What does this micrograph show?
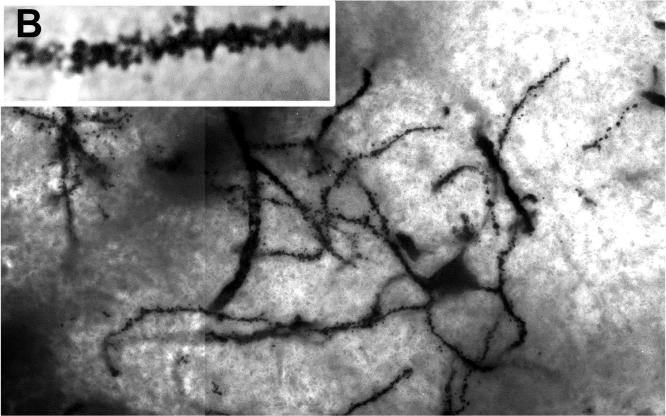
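Thin dendrites run from it and branch, and they are lined with small dark spines. Other impregnated dendrites and processes from nearby cells cross the picture, and parts of the background are shaded darker. The inset at top left shows one dendrite at higher magnification, crowded with small dark spines that give it a fuzzy, knobbly outline.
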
